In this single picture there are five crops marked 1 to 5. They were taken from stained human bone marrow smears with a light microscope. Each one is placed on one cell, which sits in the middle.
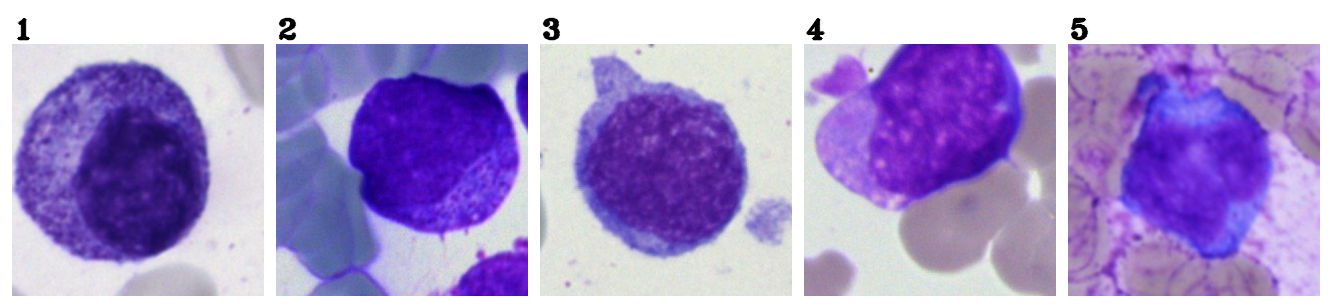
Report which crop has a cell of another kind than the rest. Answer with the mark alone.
1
